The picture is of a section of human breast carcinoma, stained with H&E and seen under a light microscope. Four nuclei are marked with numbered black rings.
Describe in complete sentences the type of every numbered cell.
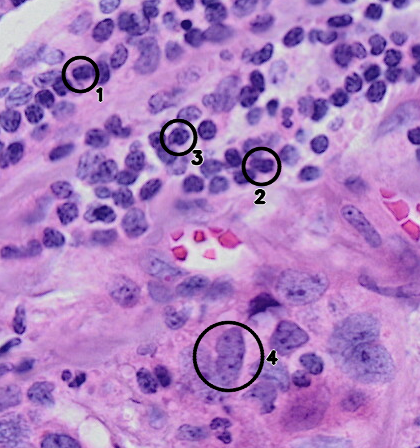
Cells 1, 2 and 3 are lymphocytes. Cell 4 is a carcinoma cell.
